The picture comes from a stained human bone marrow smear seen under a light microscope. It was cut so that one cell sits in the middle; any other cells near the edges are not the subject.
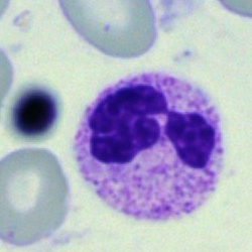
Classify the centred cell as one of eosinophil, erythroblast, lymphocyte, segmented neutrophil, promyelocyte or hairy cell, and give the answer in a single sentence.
The cell positioned in the middle of the field is a segmented neutrophil.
